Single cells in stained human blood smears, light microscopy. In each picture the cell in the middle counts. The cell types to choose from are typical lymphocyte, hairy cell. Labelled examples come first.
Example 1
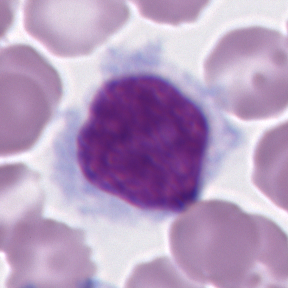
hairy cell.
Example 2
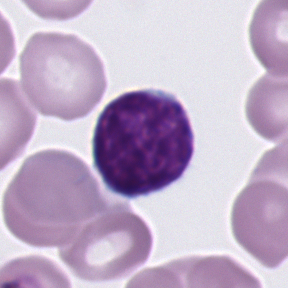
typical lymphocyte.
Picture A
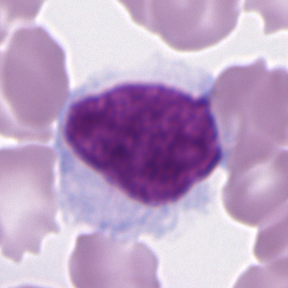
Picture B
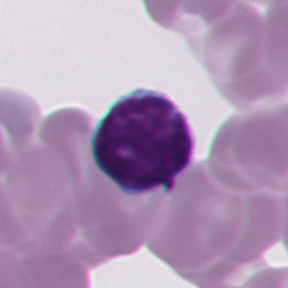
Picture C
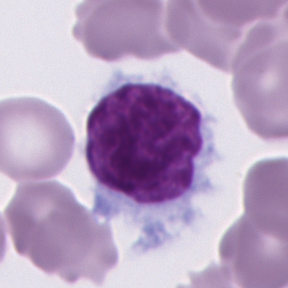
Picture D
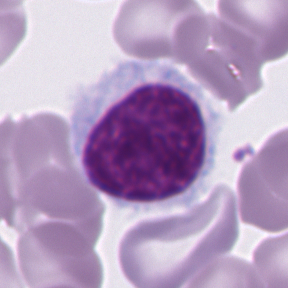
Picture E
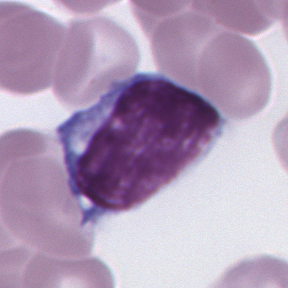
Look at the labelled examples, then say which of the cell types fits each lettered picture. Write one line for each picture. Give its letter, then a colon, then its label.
A: hairy cell.
B: typical lymphocyte.
C: hairy cell.
D: hairy cell.
E: typical lymphocyte.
